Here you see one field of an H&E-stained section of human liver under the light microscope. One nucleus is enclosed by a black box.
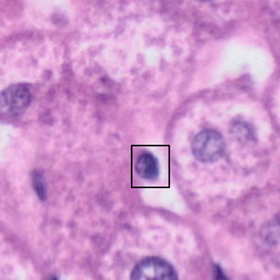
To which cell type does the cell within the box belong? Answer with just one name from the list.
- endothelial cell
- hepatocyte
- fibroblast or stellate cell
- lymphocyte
lymphocyte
